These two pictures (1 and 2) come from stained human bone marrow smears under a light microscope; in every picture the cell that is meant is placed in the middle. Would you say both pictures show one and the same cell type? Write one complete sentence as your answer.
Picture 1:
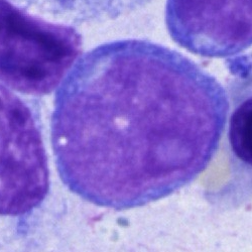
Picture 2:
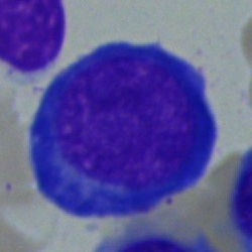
Yes, both are proerythroblasts.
